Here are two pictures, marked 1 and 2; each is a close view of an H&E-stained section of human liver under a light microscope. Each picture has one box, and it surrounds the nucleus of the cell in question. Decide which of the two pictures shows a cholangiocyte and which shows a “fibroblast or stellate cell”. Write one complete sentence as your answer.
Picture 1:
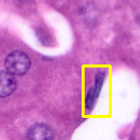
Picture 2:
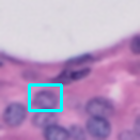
The cell in picture 1 is a “fibroblast or stellate cell”, and the one in picture 2 is a cholangiocyte.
